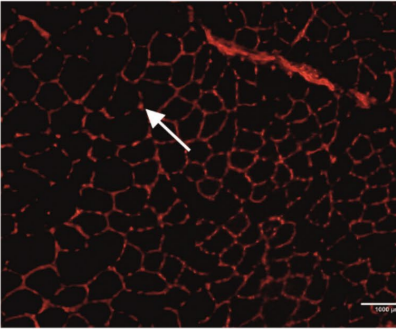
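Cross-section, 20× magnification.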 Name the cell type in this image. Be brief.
Muscle fibers.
